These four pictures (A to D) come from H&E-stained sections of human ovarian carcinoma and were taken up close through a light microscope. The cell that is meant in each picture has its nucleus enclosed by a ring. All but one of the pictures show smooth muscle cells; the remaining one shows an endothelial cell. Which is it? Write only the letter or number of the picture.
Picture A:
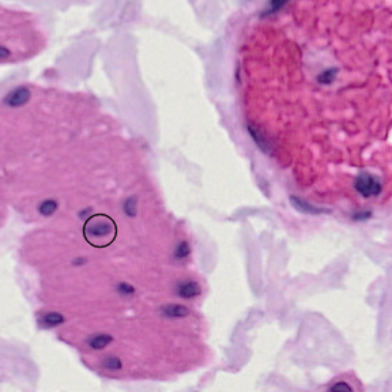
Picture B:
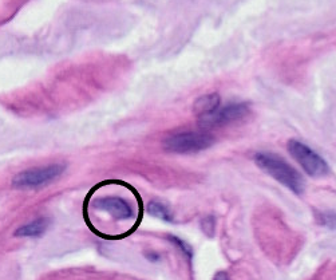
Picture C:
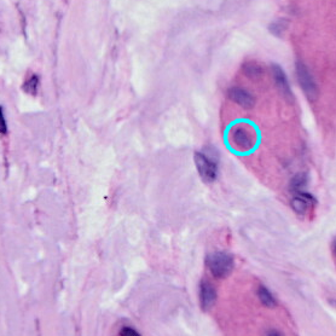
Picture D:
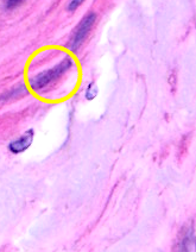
B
